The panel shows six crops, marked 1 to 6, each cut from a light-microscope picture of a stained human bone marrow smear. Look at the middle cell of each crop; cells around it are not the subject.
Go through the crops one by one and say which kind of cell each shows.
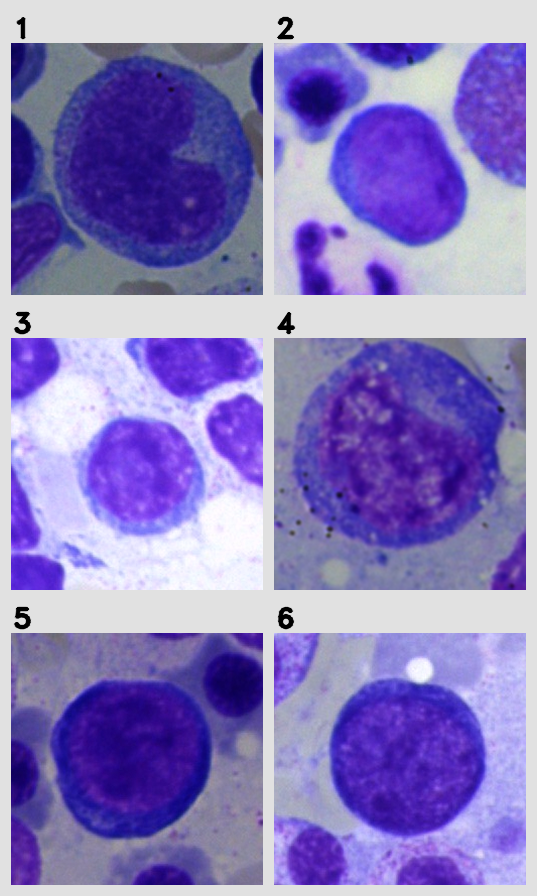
1: promyelocyte
2: proerythroblast
3: lymphocyte
4: promyelocyte
5: proerythroblast
6: proerythroblast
